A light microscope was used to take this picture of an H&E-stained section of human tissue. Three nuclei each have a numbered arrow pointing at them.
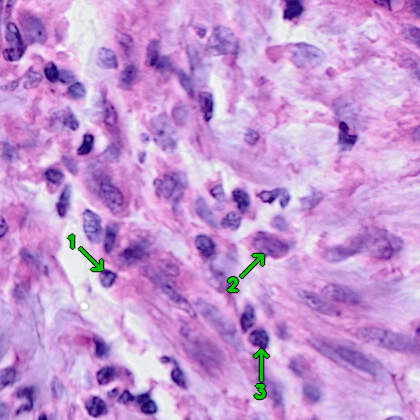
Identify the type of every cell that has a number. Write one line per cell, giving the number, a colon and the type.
1: lymphocyte
2: macrophage or monocyte
3: lymphocyte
